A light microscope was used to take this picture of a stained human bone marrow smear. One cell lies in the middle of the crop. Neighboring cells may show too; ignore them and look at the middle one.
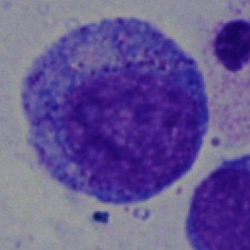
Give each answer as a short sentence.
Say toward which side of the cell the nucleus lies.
Seen from the middle of the cell, the nucleus lies toward the lower right.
